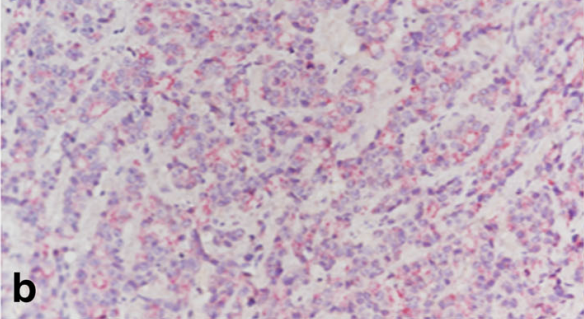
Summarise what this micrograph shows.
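The cells have round blue nuclei and modest cytoplasm, which carries a granular red stain, strongest along the borders of the small lumina. The glands are closely packed, back to back, with little stroma between them and no orderly layered lining.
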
